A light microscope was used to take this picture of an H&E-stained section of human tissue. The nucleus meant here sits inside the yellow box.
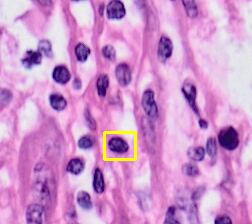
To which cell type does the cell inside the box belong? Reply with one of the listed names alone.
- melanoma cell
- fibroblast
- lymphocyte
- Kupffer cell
lymphocyte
